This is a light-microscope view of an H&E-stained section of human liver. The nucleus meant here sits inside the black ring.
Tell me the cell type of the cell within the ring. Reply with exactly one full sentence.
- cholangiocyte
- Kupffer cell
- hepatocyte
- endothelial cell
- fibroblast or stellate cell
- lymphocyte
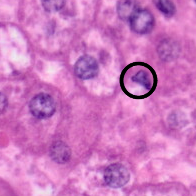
In the context of this tissue, the cell within the ring is an endothelial cell.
